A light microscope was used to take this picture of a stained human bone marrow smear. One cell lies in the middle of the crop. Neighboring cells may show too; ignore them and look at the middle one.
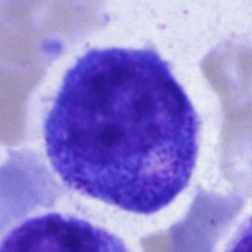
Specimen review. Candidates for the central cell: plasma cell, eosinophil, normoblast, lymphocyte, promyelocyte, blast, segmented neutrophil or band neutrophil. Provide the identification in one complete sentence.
The cell of interest, located centrally, is a promyelocyte.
